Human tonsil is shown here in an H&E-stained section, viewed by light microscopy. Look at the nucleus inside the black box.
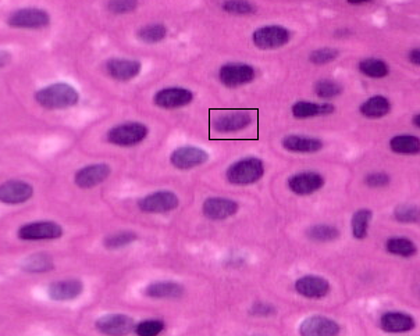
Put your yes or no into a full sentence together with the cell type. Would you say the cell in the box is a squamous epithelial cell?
Yes, calling the cell in the box a squamous epithelial cell is correct.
